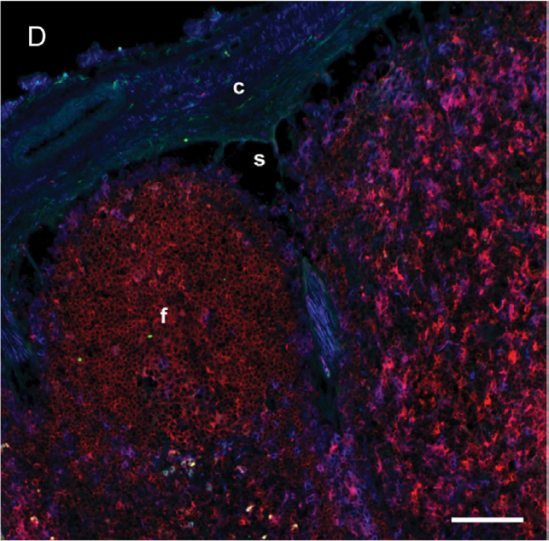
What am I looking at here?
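This is the outer part of a lymph node, showing the capsule, the sinus beneath it, and a follicle. The capsule is a band of elongated, fibrous, bluish-green tissue at the upper edge; below it lies a dark, largely empty sinus space. The follicle is a rounded field of densely packed small cells with fine red outlines. Around it and to the right lie looser tissue with many scattered, irregular, brightly red and purple-blue labelled cells, some with processes.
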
